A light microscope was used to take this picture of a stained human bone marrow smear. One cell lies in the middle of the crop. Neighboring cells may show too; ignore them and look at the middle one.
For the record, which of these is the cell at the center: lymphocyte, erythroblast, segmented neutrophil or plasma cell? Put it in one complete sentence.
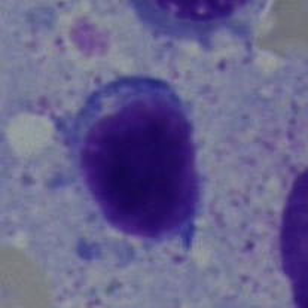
The target cell in the middle of the crop is a lymphocyte.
